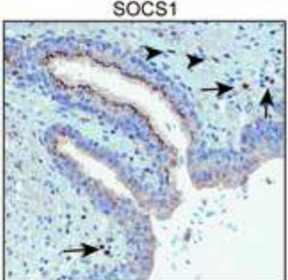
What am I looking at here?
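The section shows glands lined by epithelium with a faint brownish cytoplasmic tint and blue nuclei, set in cellular connective tissue. In the surrounding tissue, scattered small round cells have intensely dark brown nuclei and are marked by arrows, while arrowheads mark other cells lying in the connective tissue. Most nuclei in the connective tissue remain blue.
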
